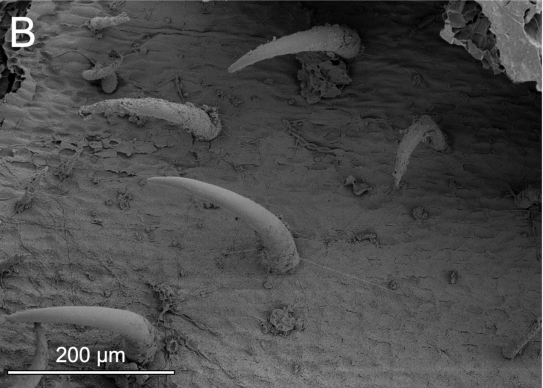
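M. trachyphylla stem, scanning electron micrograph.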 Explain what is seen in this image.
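The hairs taper to a sharp point and curve along their length, lying low over the surface. The surrounding surface is flat with faint, irregular outlines and small scattered particles. The hairs are spaced well apart and curve in a similar direction.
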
